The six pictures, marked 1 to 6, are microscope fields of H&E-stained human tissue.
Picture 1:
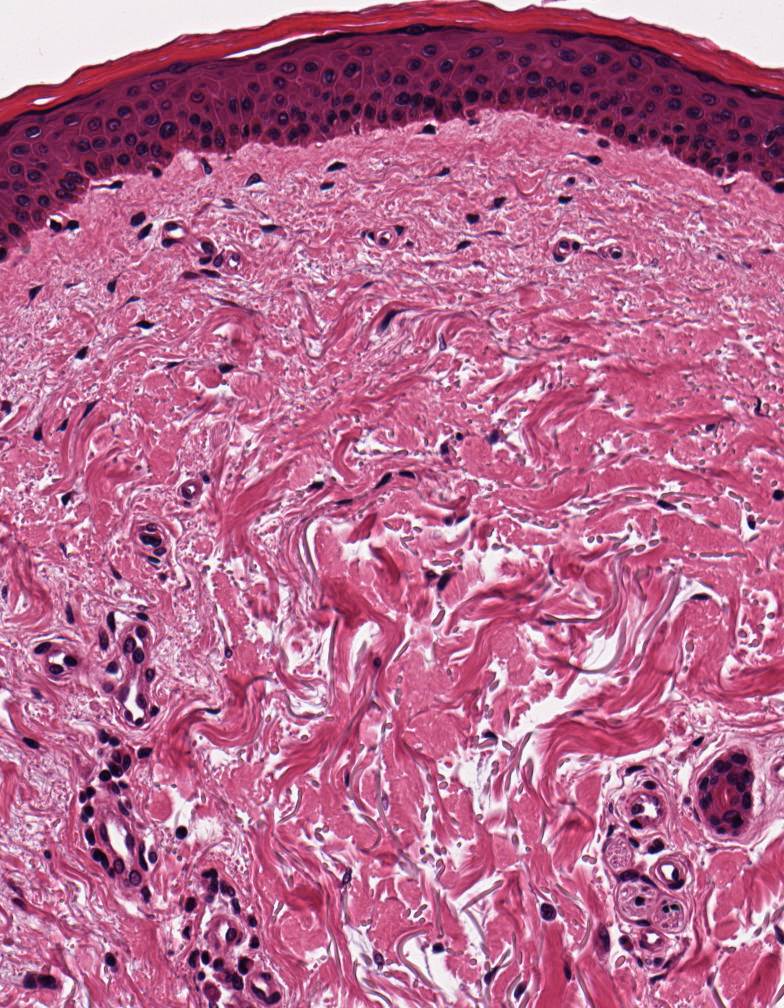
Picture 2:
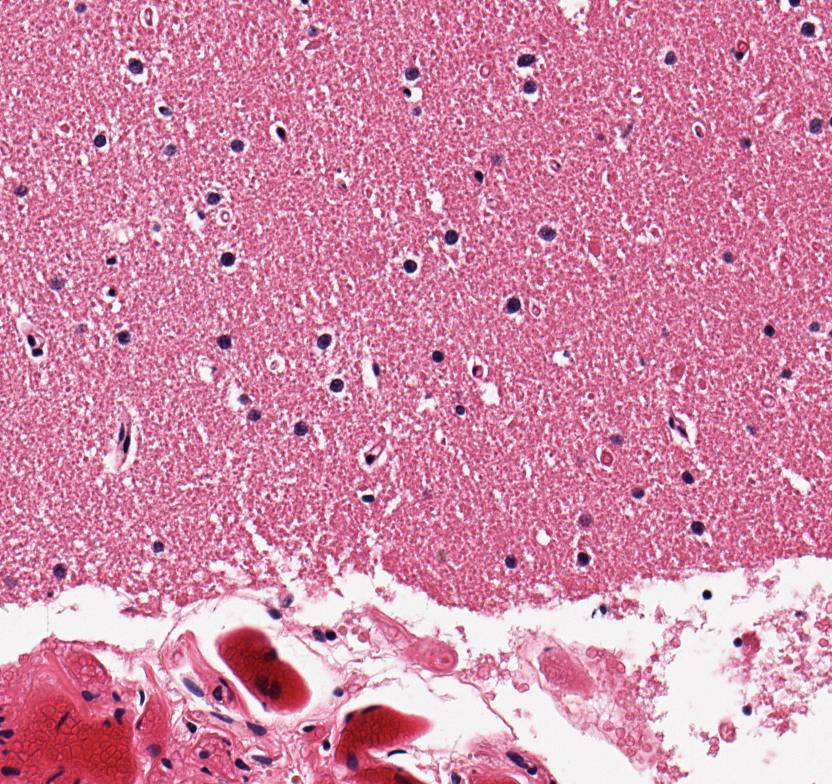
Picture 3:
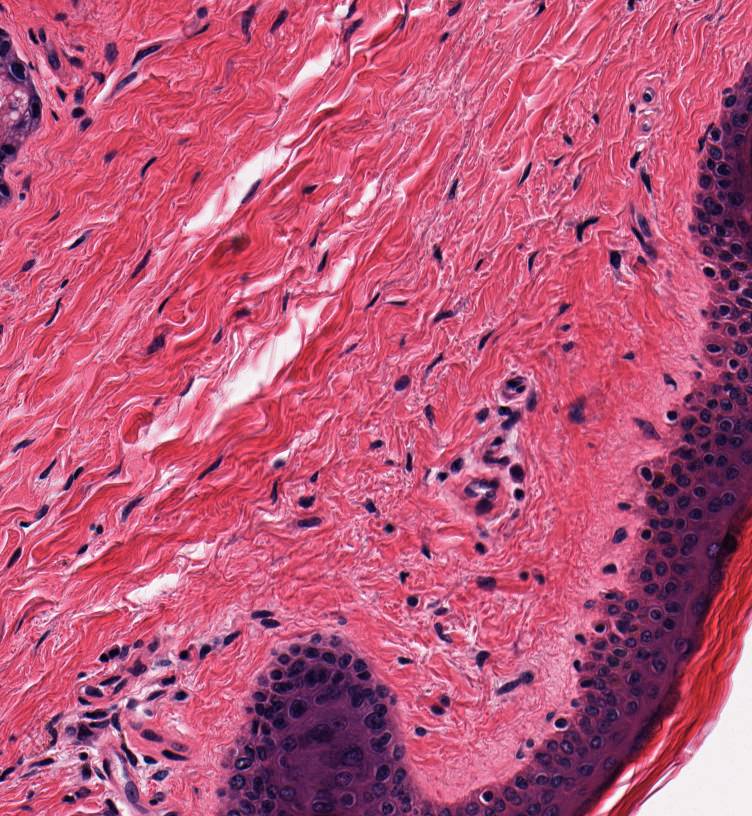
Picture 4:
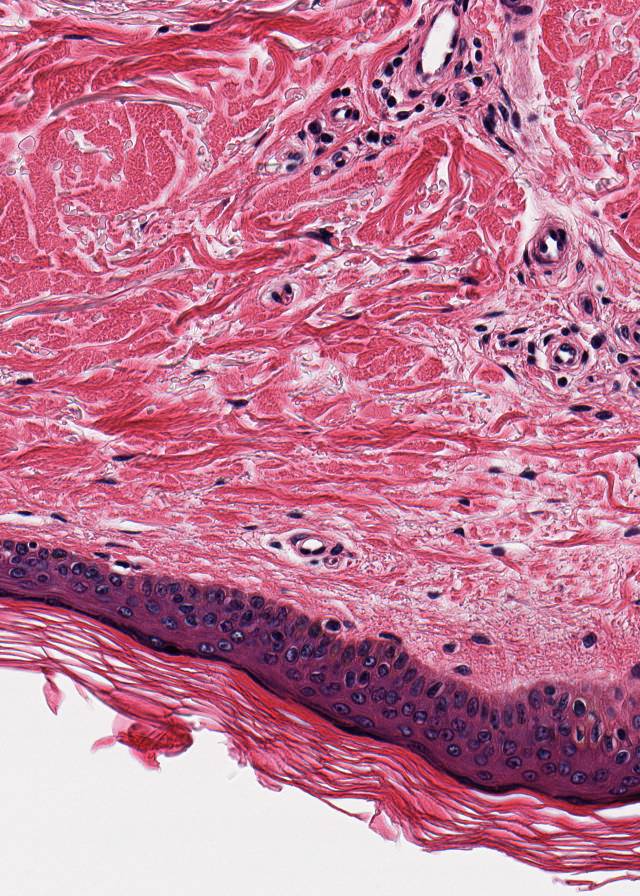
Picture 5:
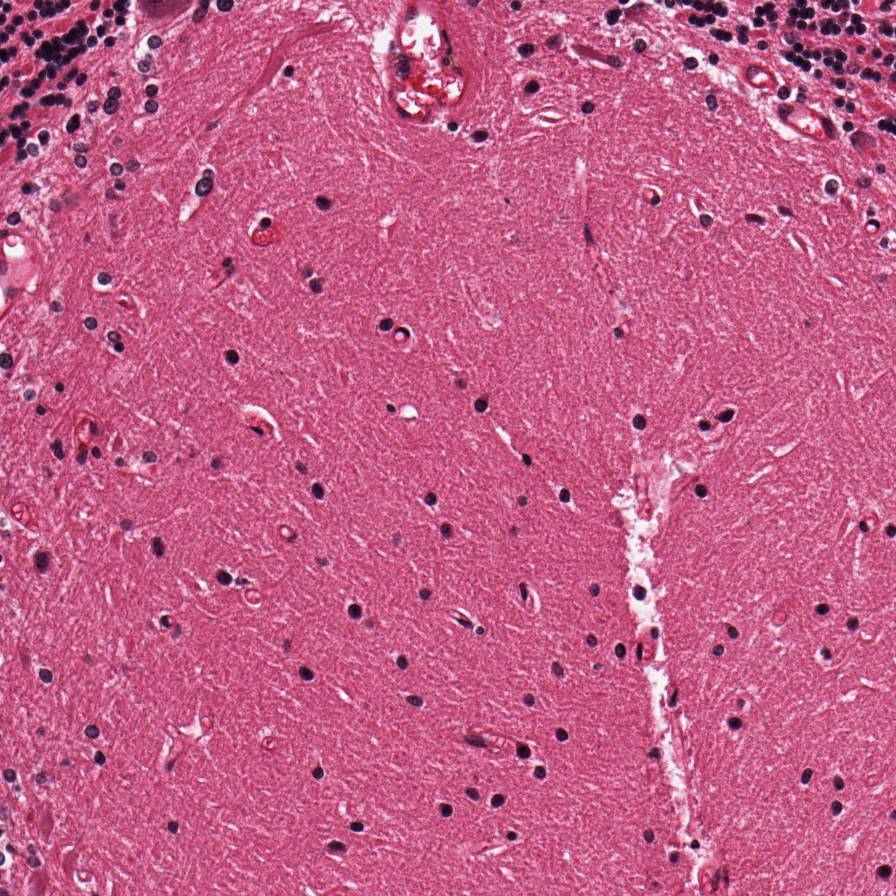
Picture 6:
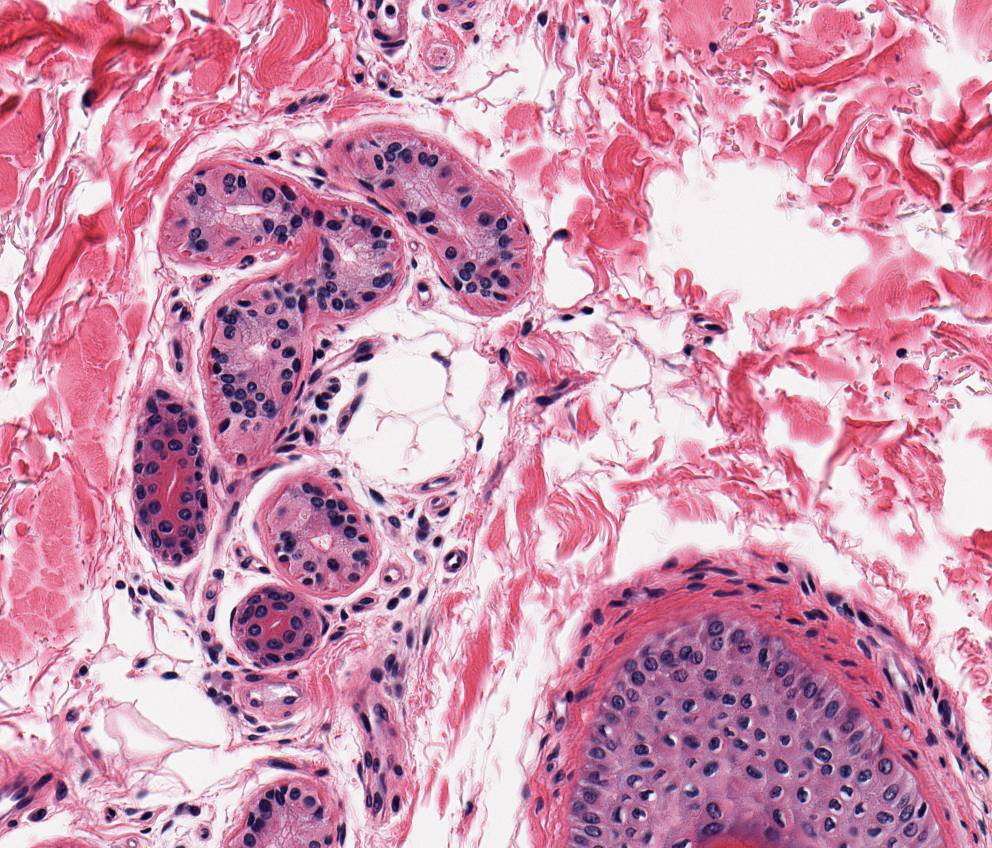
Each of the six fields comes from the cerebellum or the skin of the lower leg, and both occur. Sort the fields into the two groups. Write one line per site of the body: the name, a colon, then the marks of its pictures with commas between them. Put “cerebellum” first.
cerebellum: 2, 5
skin of the lower leg: 1, 3, 4, 6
